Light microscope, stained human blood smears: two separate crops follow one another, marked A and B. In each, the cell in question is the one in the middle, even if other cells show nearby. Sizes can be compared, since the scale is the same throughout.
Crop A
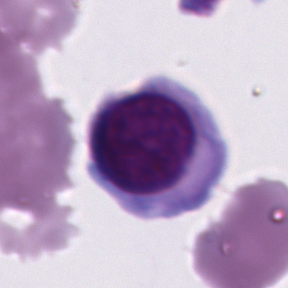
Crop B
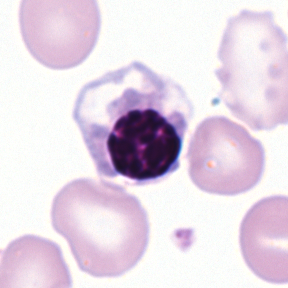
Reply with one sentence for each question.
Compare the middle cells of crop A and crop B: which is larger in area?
The cell in crop A is larger, with about 2 times the area of the one in crop B.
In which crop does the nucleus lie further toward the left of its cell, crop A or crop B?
It is the nucleus in crop A that lies further toward the left of its cell.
